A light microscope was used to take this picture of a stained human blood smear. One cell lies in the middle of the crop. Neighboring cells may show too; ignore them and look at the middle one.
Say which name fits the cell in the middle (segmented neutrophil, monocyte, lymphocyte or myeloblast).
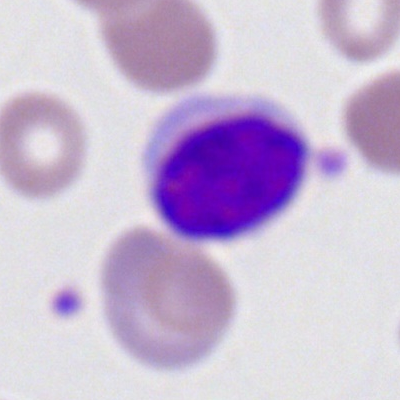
lymphocyte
